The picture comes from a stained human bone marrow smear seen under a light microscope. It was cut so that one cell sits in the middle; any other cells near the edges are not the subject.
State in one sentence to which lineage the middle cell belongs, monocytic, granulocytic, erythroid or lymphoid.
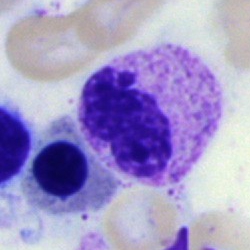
The cell in the middle of the frame falls under the granulocytic lineage.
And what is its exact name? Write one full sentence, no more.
The cell positioned in the middle of the field is a segmented neutrophil.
